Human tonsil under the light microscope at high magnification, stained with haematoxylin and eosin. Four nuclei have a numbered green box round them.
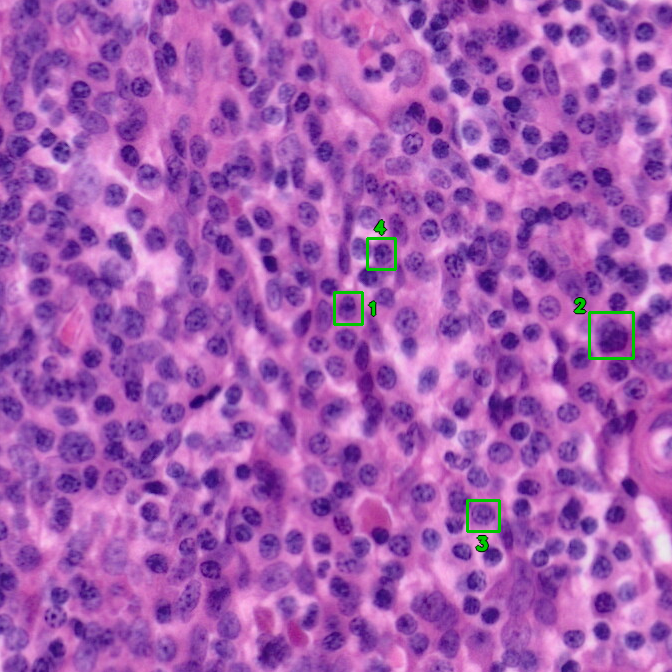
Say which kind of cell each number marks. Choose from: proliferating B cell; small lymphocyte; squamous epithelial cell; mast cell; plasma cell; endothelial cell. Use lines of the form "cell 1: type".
cell 1: plasma cell
cell 2: squamous epithelial cell
cell 3: plasma cell
cell 4: plasma cell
